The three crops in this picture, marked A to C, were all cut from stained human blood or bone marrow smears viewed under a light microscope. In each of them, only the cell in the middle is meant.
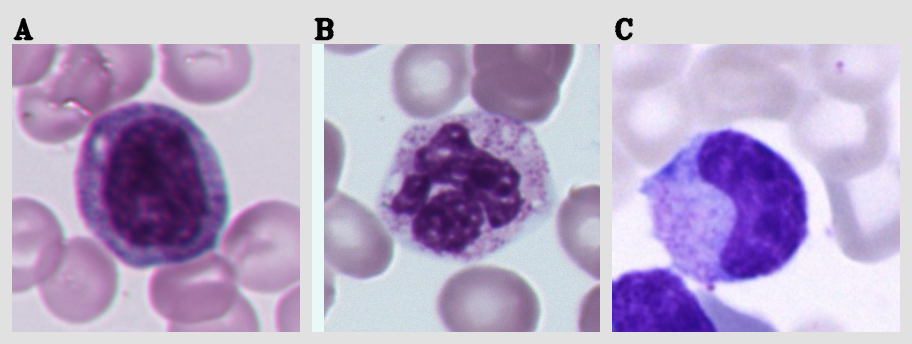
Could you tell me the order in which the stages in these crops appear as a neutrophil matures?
A, C, B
